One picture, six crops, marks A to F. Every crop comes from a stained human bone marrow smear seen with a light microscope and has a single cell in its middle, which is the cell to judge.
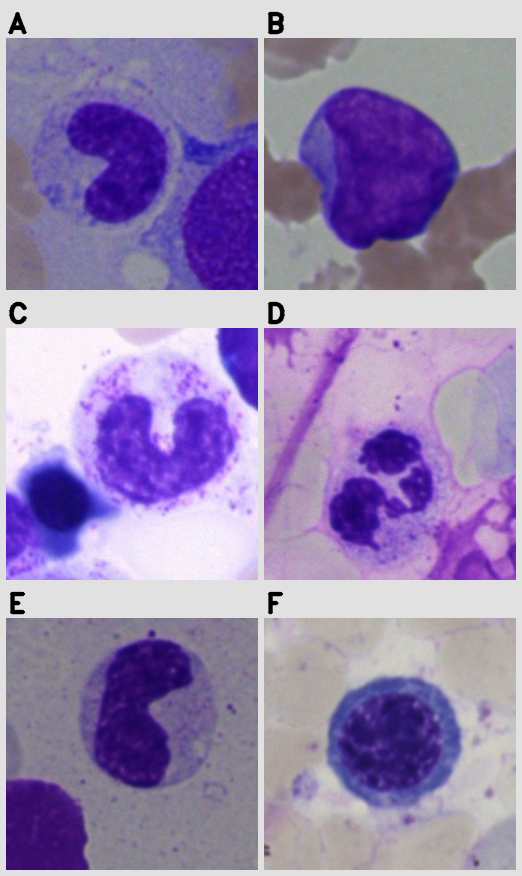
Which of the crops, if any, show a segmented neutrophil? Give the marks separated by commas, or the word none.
D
